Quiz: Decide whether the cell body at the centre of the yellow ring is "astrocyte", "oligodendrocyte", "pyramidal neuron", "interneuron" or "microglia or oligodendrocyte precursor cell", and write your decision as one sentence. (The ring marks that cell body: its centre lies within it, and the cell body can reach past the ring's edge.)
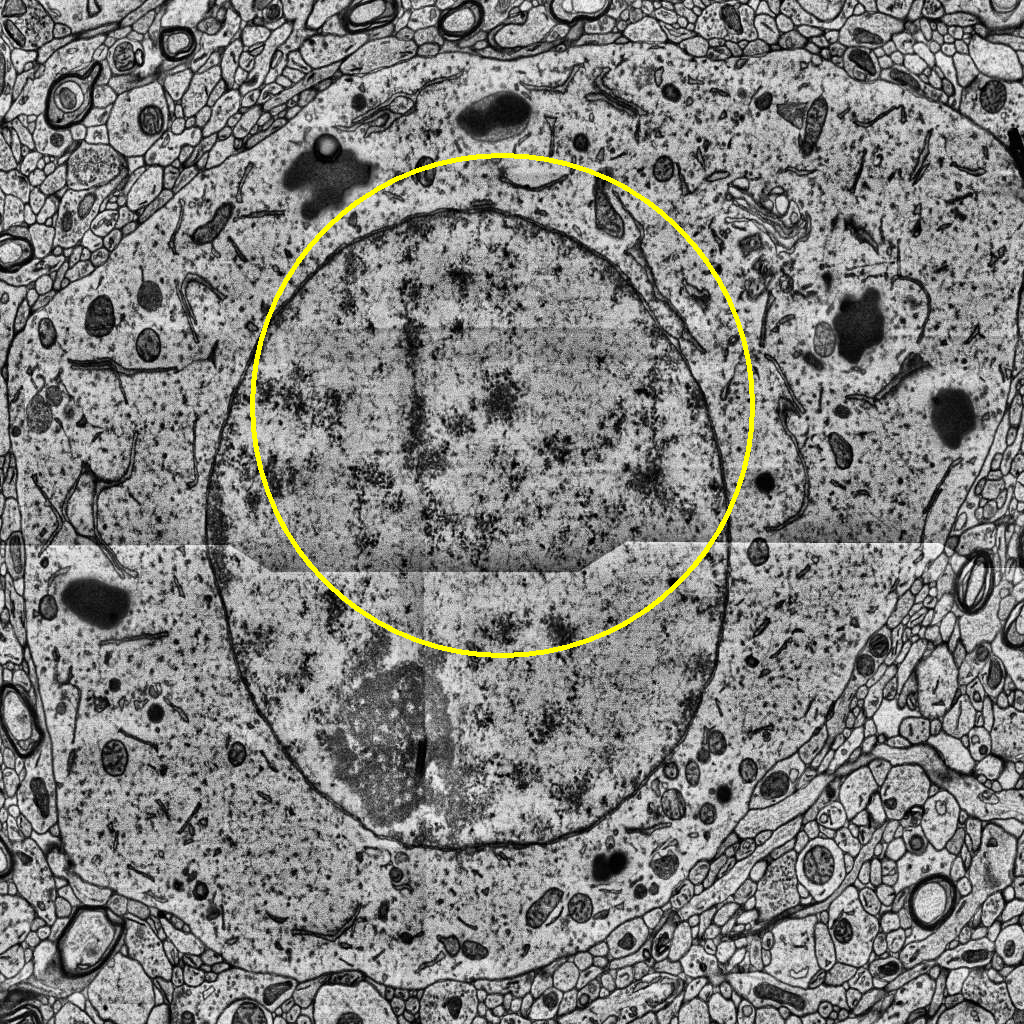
The cell holding the ring's centre is a pyramidal neuron.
